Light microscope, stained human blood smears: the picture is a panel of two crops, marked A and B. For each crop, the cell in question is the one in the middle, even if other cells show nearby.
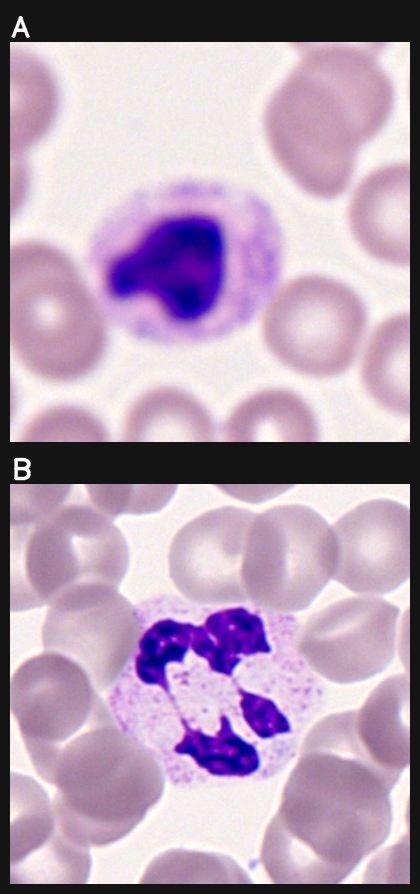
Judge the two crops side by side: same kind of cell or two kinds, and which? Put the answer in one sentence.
Yes, both crops have neutrophils as their central cells.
